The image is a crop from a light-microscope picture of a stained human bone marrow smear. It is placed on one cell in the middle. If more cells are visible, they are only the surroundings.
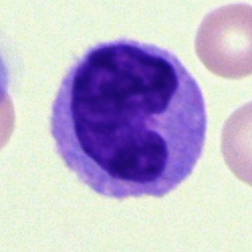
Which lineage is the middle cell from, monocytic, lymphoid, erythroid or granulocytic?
monocytic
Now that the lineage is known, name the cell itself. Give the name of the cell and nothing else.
monocyte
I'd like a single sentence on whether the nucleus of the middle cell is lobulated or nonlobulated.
Please observe that the nucleus consists of one compact round, oval or kidney-shaped mass.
